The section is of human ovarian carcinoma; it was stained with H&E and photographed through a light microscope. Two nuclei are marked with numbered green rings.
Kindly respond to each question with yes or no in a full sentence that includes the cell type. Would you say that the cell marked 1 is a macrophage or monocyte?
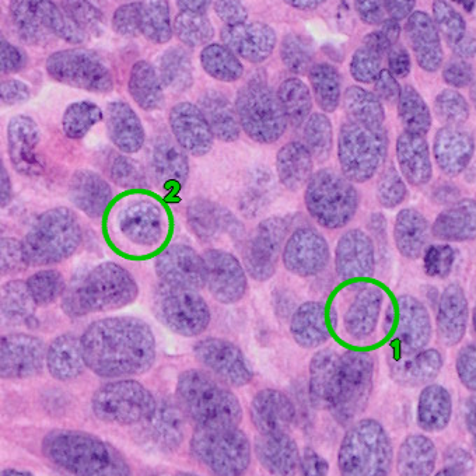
No, number 1 belongs to a carcinoma cell, not to a macrophage or monocyte.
